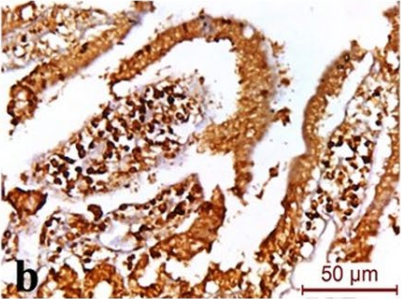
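Intestinal mucosa with villi whose columnar epithelial lining is stained a strong diffuse brown. The villus cores are crowded with small round inflammatory cells that are stained dark brown, with little blue counterstain visible anywhere.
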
